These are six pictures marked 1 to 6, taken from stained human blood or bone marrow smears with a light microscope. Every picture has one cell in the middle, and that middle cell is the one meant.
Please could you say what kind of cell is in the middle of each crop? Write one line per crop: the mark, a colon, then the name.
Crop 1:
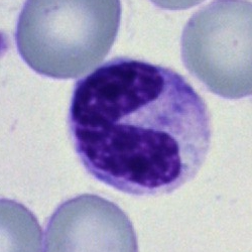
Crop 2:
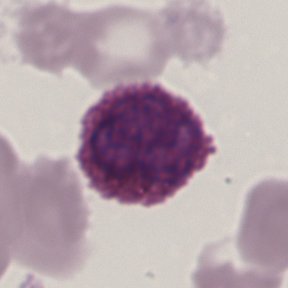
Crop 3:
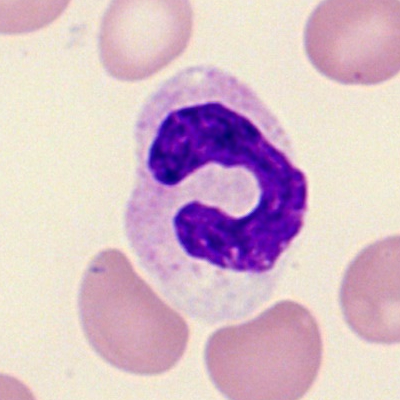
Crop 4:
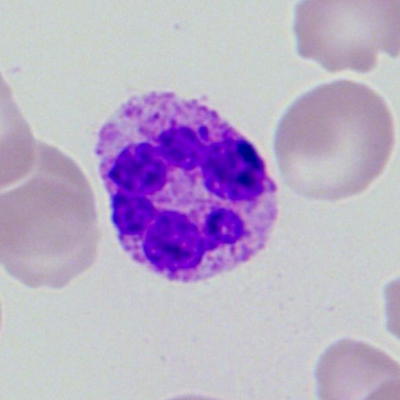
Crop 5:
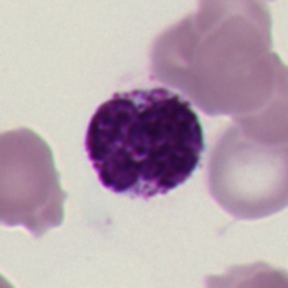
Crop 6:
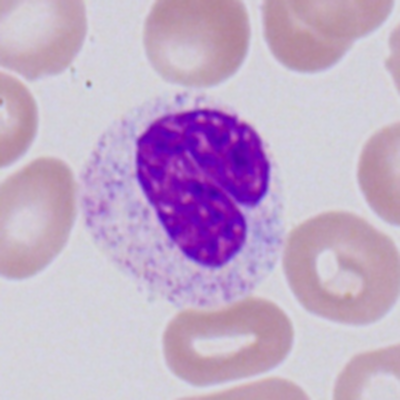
1: band neutrophil
2: eosinophil
3: band neutrophil
4: basophil
5: basophil
6: band neutrophil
